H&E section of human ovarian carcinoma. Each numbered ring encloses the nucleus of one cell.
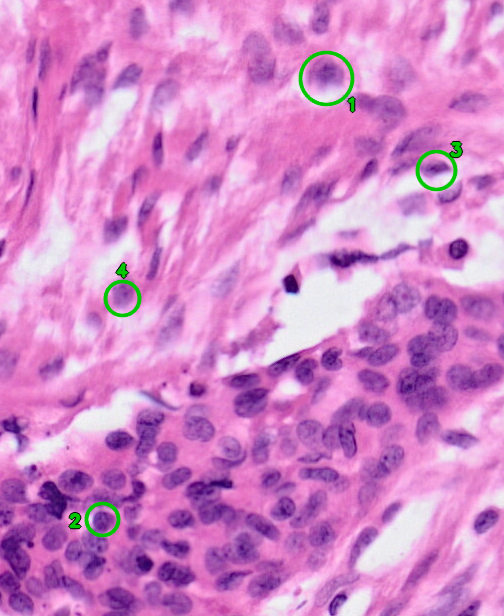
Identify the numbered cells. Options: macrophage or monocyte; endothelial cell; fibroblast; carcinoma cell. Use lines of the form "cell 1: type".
cell 1: fibroblast
cell 2: carcinoma cell
cell 3: fibroblast
cell 4: fibroblast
